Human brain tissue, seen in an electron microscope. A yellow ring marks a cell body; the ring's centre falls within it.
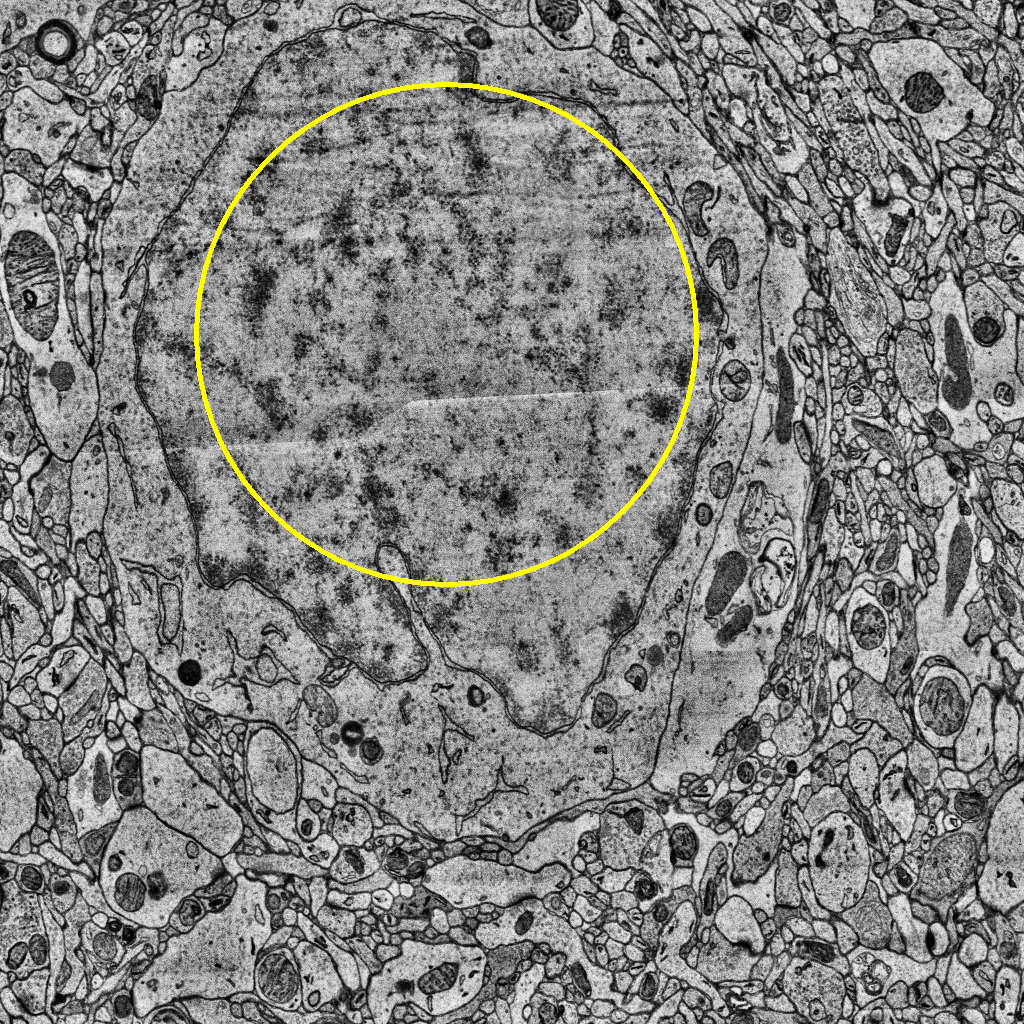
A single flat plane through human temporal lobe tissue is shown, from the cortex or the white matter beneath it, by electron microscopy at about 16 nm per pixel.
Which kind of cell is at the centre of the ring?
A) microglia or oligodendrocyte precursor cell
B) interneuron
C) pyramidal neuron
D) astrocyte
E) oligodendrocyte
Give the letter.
B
